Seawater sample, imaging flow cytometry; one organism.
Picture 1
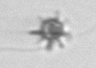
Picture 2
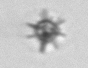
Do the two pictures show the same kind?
Yes, both are Rhabdosphaera.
